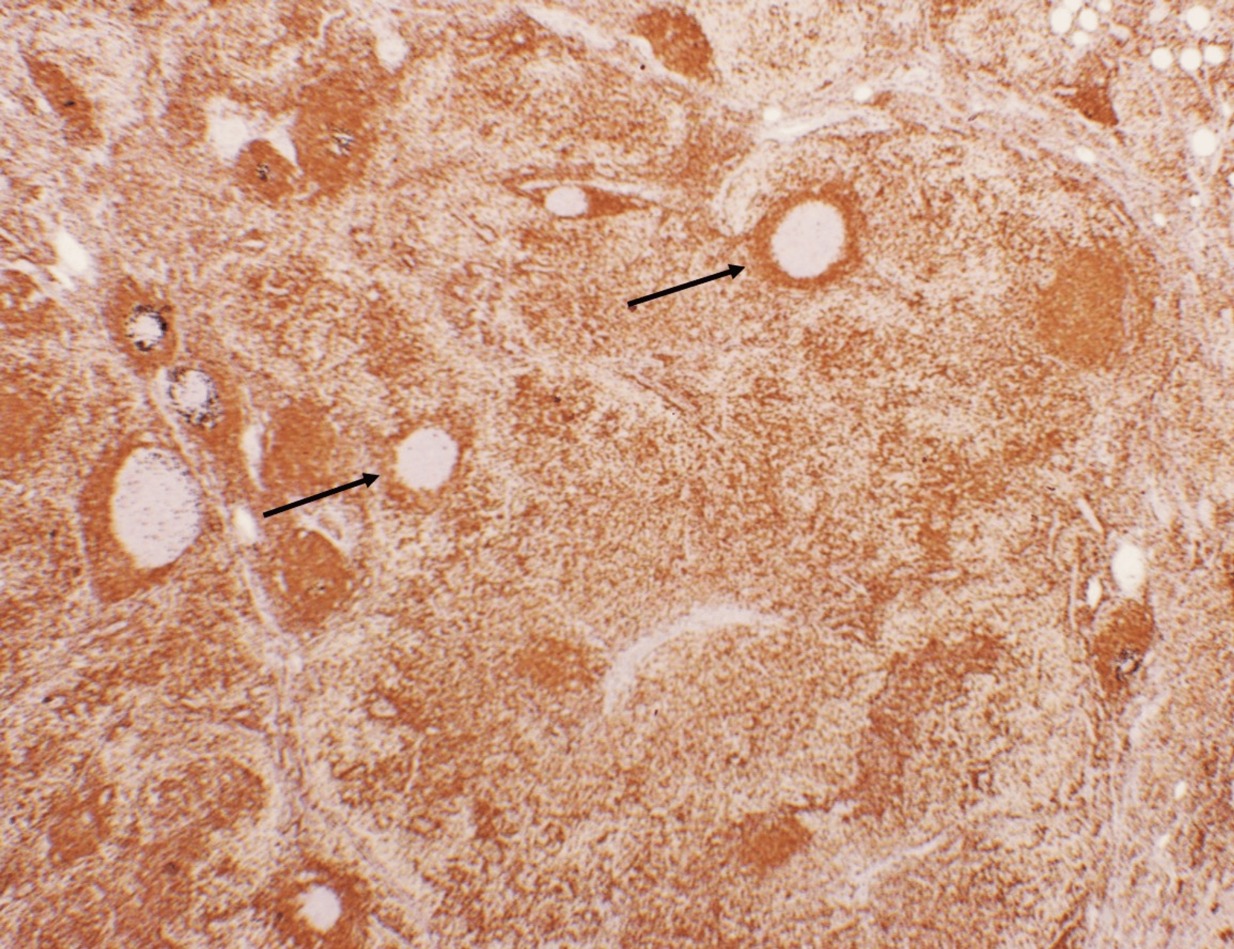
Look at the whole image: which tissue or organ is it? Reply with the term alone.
Lymph node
